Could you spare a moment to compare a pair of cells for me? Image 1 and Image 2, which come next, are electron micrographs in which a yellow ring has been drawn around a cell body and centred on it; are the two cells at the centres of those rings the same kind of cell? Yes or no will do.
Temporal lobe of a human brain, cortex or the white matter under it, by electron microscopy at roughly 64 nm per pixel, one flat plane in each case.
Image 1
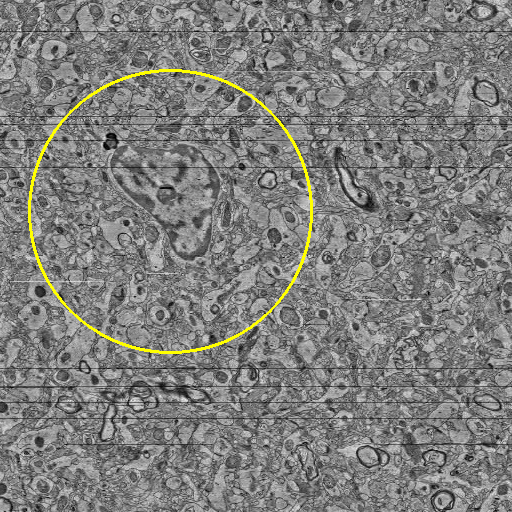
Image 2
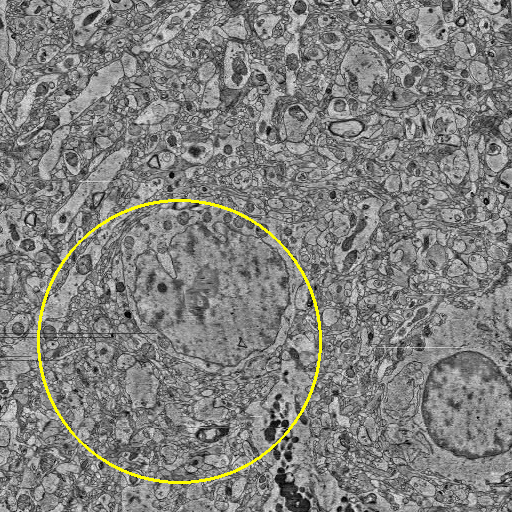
no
